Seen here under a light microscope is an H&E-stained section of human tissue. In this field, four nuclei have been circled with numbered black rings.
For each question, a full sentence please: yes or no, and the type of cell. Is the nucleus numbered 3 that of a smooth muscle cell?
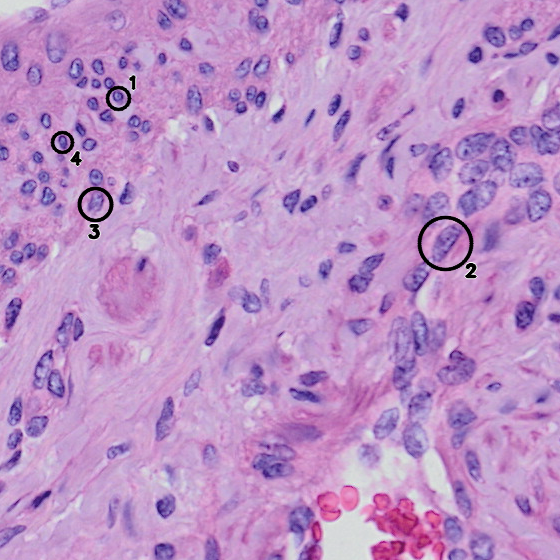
Yes, the cell with the number 3 is a smooth muscle cell.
